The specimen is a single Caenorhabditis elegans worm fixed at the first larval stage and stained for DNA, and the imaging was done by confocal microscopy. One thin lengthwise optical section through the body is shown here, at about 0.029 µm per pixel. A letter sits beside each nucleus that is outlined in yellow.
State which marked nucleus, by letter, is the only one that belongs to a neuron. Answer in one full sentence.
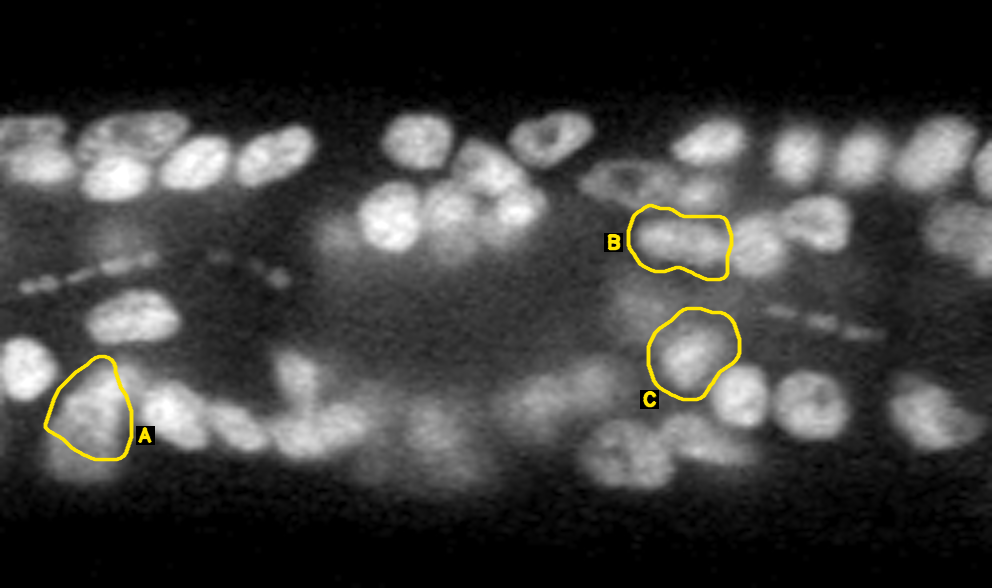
A is the one that belongs to a neuron.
